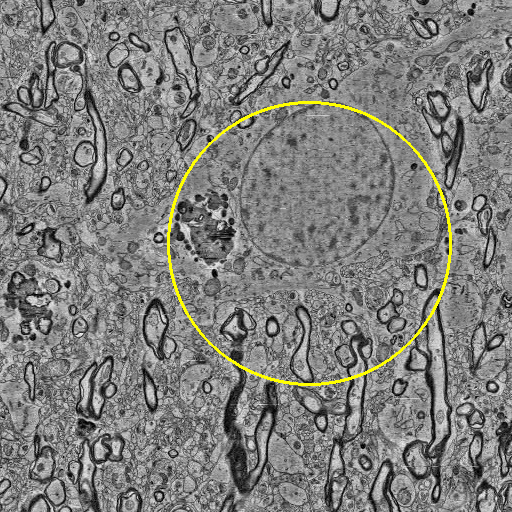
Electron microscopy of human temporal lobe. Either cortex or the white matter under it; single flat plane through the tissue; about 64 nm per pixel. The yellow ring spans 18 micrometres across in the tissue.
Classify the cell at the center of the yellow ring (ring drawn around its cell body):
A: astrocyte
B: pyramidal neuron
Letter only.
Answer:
A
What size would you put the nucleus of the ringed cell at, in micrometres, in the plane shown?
About 11 by 10 micrometers for the nucleus, in this plane.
